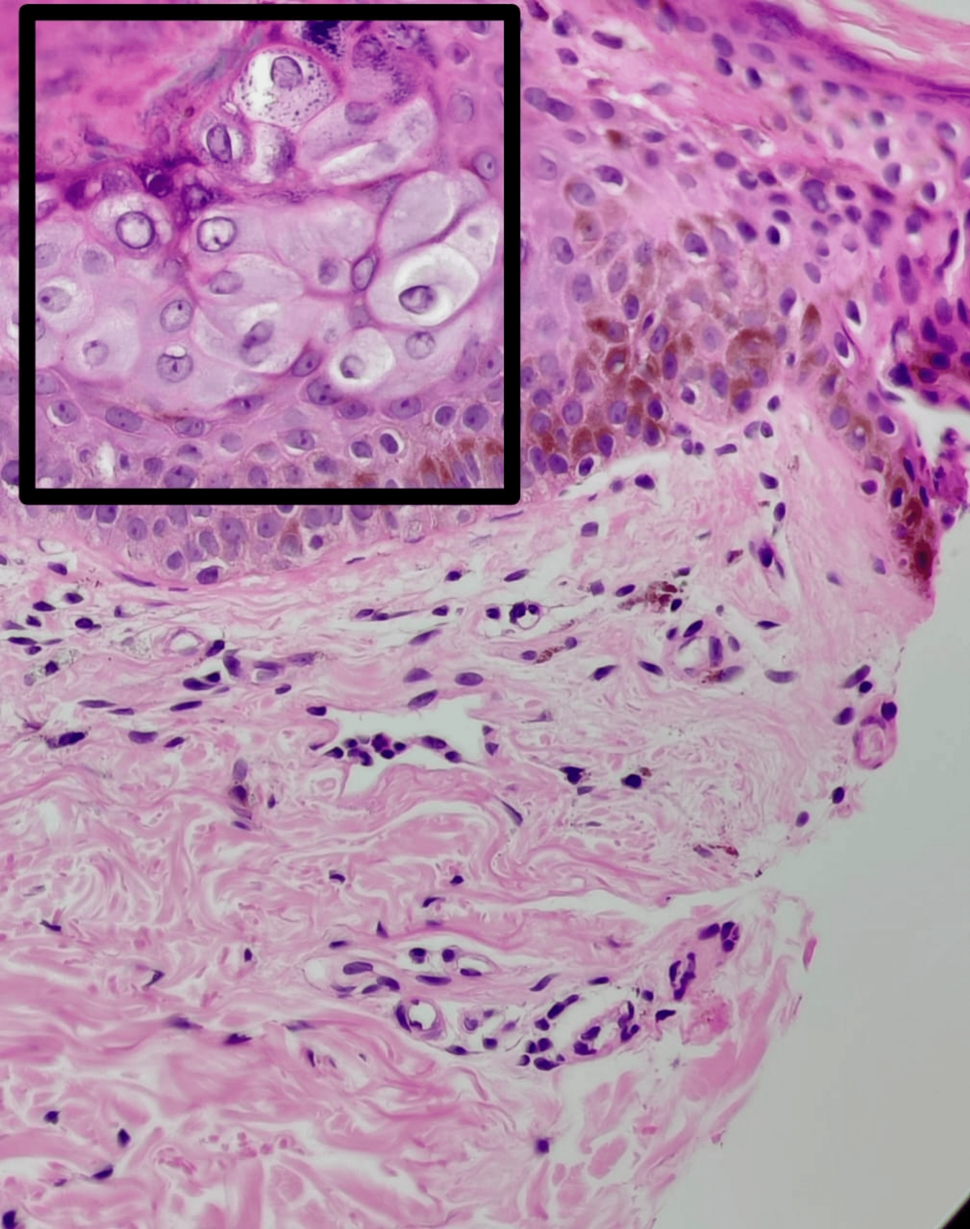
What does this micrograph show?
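This is skin: a stratified epidermis of keratinocytes over a loose dermis. The basal layer is a row of cuboidal cells, many holding brown granular pigment. Above it, the cells become polygonal with pink cytoplasm. In the upper epidermis, a cluster of keratinocytes is markedly enlarged and ballooned, with abundant pale grey-pink cytoplasm and sharp cell borders. Coarse dark purple granules are seen in cells near the surface. The dermis beneath is made of wavy pink collagen bundles, with scattered spindle-shaped nuclei and small thin-walled vessels.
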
